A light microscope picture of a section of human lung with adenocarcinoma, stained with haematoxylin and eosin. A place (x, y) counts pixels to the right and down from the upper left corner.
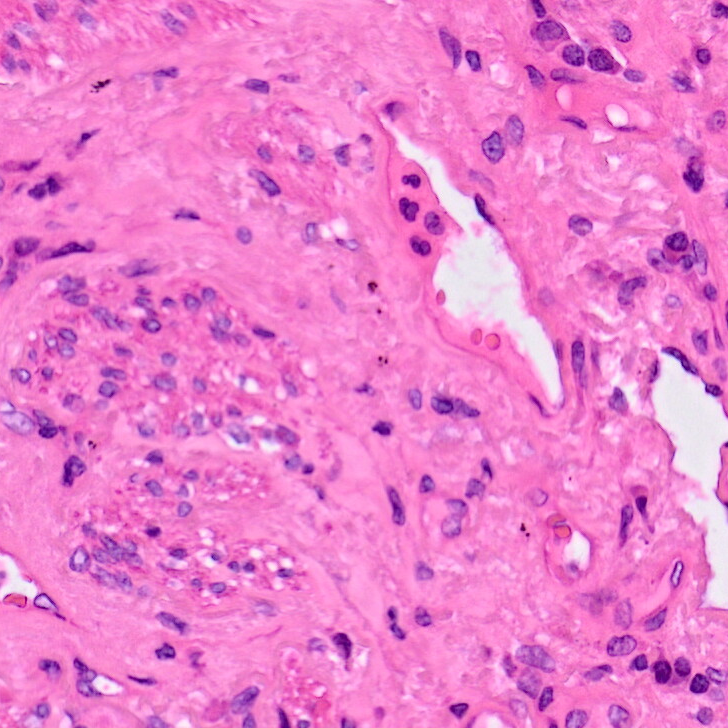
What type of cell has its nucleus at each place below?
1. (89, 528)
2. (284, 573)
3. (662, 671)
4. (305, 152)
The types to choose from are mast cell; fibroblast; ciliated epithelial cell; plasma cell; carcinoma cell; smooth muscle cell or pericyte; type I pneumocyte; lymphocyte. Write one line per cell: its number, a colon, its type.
1: smooth muscle cell or pericyte
2: smooth muscle cell or pericyte
3: plasma cell
4: smooth muscle cell or pericyte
